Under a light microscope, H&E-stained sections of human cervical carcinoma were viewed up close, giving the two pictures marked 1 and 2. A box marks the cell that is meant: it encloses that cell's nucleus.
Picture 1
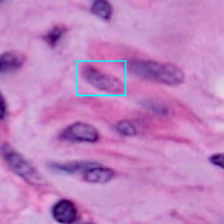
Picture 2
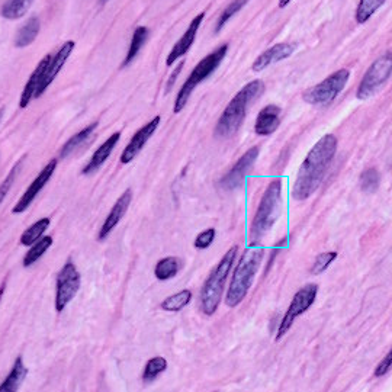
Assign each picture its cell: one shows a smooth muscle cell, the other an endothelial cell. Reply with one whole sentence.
In picture 1 the cell is a smooth muscle cell; in picture 2, an endothelial cell.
